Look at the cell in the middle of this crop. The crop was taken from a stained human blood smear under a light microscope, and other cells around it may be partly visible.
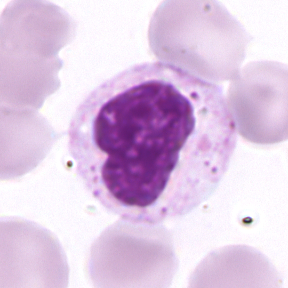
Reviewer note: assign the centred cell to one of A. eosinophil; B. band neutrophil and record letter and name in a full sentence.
The middle of the crop holds a band neutrophil, which points to option B.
